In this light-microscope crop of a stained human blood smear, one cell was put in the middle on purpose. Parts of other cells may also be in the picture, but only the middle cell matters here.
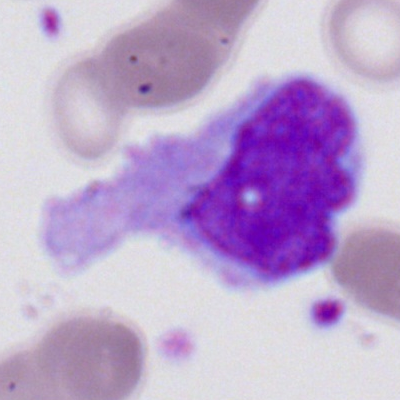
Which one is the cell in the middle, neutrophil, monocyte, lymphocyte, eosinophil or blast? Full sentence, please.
The cell at the middle of the frame should be recorded as a monocyte.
